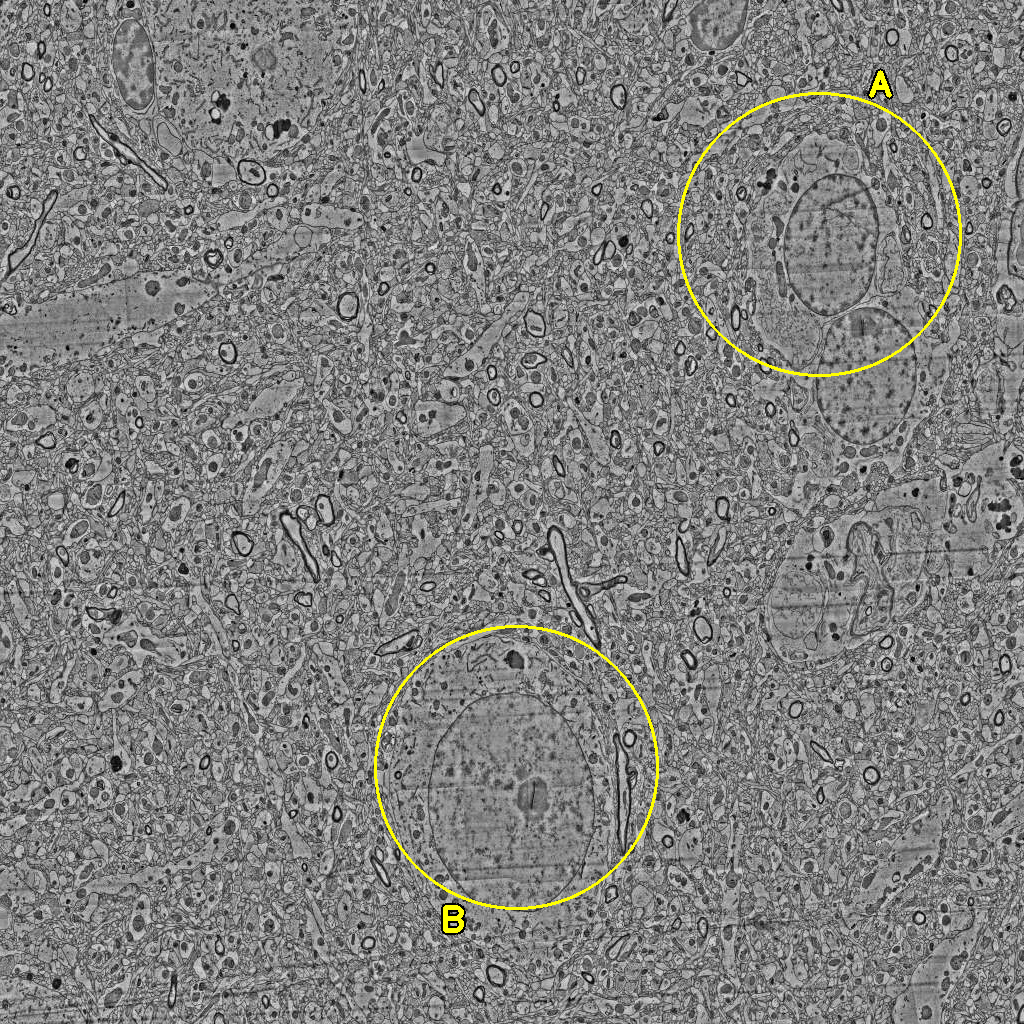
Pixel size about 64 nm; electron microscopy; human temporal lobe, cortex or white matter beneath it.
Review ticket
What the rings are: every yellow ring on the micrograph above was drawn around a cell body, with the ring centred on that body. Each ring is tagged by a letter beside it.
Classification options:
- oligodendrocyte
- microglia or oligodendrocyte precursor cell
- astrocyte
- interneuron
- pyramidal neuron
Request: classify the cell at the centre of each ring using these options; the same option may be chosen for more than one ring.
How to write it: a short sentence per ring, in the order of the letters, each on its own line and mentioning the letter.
The cell centred in ring A is an astrocyte.
The cell centred in ring B is a pyramidal neuron.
